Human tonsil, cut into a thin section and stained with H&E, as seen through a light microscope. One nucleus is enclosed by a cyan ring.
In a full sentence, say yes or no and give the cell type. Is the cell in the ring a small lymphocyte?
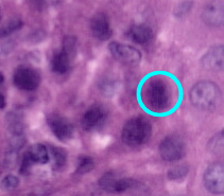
No, it is a squamous epithelial cell rather than a small lymphocyte that the cell in the ring is.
